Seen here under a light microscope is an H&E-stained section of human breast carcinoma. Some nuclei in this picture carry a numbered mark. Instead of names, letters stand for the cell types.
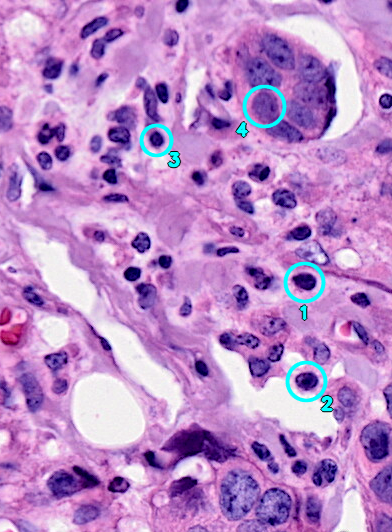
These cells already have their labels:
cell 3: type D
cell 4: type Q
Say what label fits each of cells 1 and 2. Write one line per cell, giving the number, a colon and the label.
1: type D
2: type D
